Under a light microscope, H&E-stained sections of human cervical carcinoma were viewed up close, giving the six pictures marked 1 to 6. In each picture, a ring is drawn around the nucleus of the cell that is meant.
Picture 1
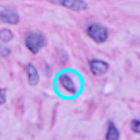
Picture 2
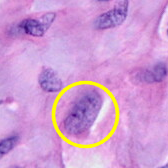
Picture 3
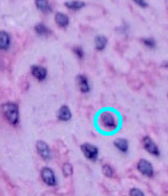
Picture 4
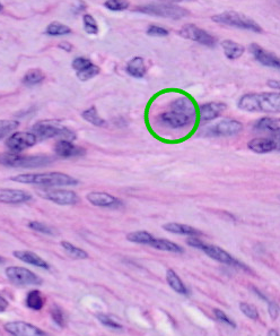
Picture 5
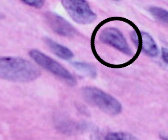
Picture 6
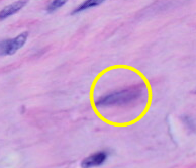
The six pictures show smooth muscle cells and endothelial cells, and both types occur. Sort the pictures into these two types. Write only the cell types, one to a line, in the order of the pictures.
smooth muscle cell
endothelial cell
smooth muscle cell
endothelial cell
endothelial cell
smooth muscle cell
